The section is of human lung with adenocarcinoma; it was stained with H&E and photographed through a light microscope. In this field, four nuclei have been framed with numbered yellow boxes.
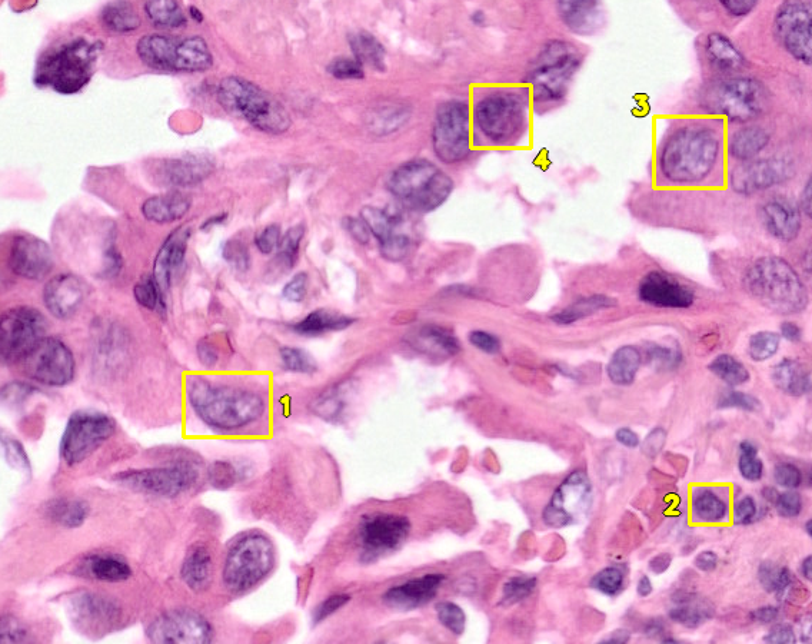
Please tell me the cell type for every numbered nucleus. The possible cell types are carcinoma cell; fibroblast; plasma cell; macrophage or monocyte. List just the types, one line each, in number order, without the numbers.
carcinoma cell
plasma cell
carcinoma cell
carcinoma cell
